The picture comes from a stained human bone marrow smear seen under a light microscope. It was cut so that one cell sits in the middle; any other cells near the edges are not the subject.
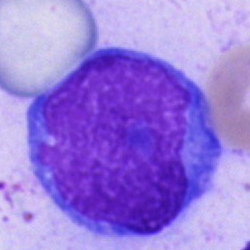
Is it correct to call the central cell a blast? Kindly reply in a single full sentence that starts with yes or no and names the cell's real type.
Yes, the middle cell is classified as a blast.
